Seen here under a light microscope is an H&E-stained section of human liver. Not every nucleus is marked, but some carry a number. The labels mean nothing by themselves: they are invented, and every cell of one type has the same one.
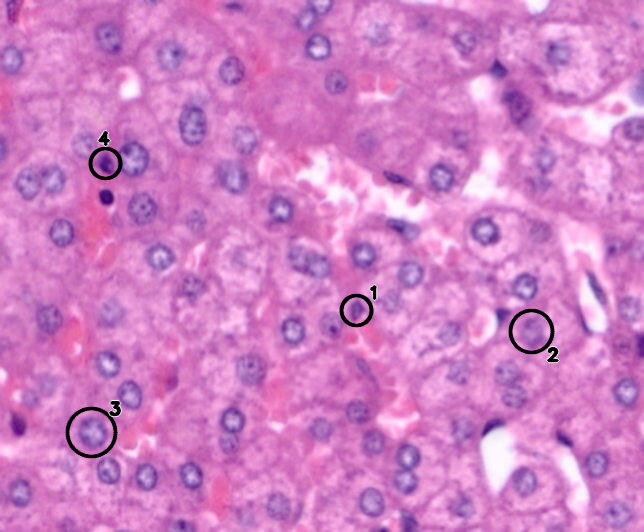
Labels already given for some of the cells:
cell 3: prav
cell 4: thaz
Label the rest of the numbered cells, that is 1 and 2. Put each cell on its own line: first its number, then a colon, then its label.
1: thaz
2: prav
